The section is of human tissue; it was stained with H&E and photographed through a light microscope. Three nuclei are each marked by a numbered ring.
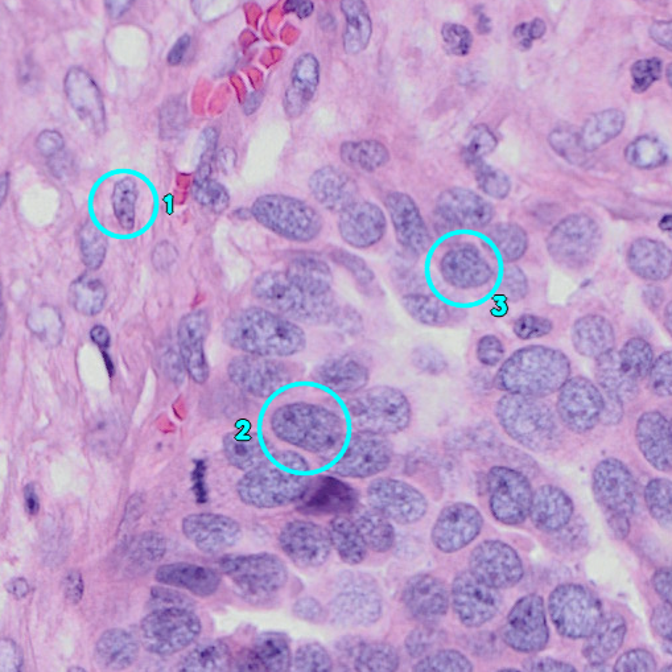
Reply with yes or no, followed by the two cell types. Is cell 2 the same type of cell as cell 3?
Yes, cells 2 and 3 are carcinoma cells, both of them.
